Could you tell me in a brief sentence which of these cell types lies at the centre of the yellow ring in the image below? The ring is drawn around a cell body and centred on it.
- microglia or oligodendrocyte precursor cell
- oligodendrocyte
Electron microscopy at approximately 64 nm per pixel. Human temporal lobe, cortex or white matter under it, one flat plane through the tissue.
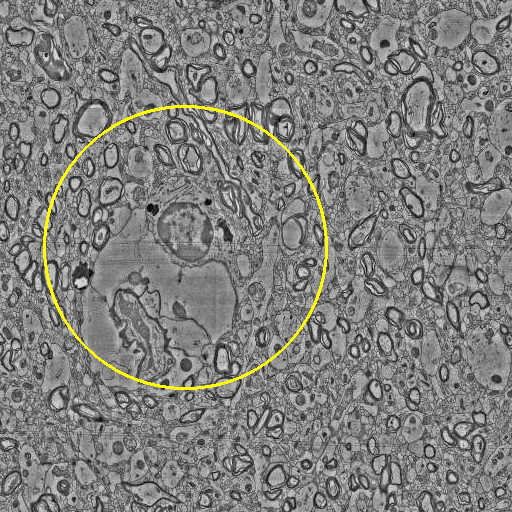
The cell centred in the ring is a microglial cell or oligodendrocyte precursor cell.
